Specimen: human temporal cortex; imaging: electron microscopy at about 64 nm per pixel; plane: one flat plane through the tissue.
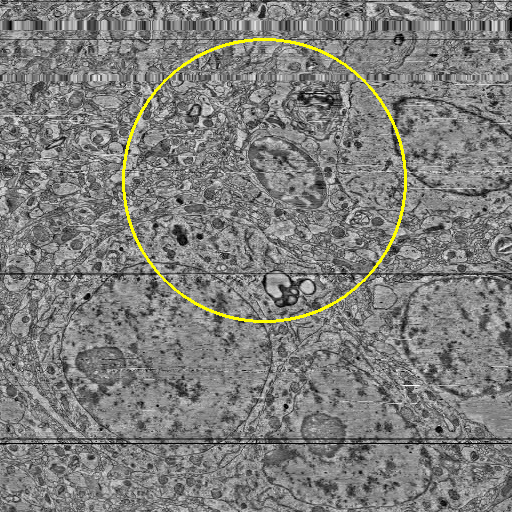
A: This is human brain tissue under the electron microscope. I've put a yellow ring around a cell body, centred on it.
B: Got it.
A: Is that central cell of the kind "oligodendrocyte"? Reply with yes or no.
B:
no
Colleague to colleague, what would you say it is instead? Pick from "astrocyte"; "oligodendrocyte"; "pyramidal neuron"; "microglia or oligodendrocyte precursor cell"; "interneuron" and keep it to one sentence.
Sitting at the ring centre is a microglial cell or oligodendrocyte precursor cell.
